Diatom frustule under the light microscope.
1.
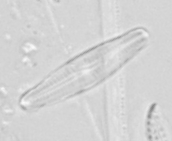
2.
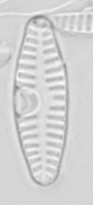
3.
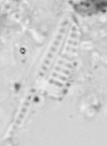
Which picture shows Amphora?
Picture 3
